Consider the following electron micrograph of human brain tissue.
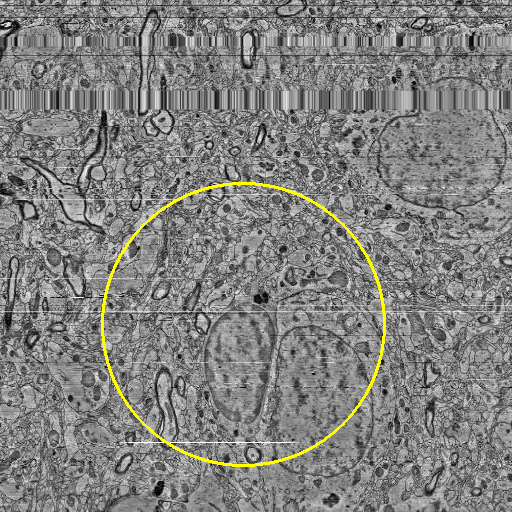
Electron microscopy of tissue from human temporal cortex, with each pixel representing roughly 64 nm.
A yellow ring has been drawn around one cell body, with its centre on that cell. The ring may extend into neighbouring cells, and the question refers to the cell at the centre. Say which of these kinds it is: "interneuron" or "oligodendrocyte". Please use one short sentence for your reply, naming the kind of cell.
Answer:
The centre of the ring falls on an oligodendrocyte.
